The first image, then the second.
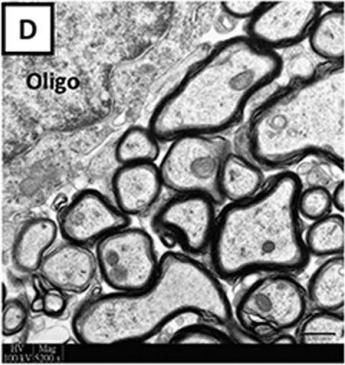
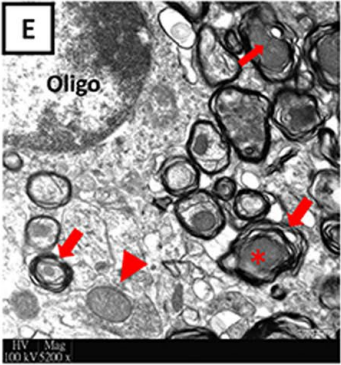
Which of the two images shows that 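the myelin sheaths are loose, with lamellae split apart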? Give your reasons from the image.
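Second image: several sheaths show separated, irregular lamellae around dense, shrunken axons. First image: sheaths are compact, smooth dark rings around pale round axons.
The second image.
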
